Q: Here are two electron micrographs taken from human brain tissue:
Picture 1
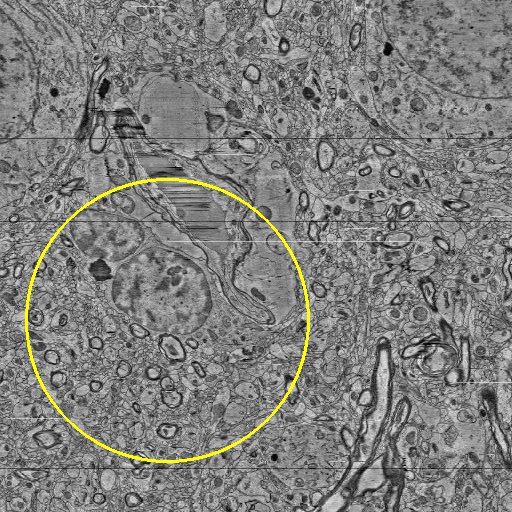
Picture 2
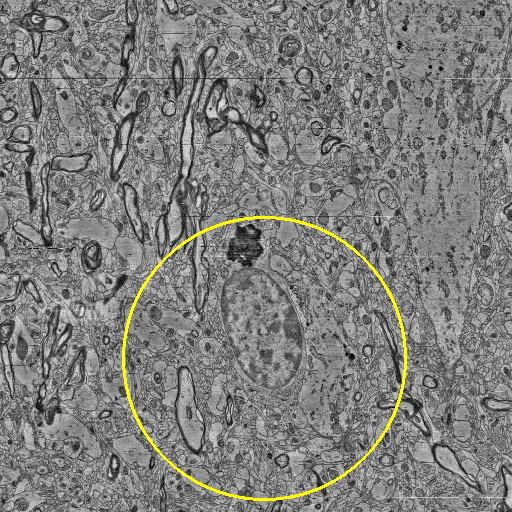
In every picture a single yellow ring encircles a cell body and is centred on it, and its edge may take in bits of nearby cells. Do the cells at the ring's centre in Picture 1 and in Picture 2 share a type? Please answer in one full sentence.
Yes, the cells at the ring's centre in Picture 1 and Picture 2 share a type.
